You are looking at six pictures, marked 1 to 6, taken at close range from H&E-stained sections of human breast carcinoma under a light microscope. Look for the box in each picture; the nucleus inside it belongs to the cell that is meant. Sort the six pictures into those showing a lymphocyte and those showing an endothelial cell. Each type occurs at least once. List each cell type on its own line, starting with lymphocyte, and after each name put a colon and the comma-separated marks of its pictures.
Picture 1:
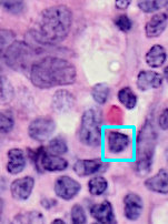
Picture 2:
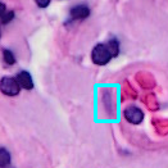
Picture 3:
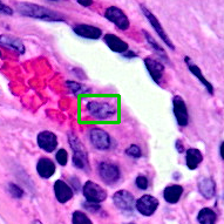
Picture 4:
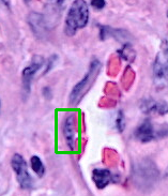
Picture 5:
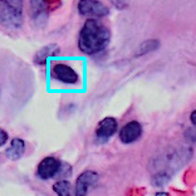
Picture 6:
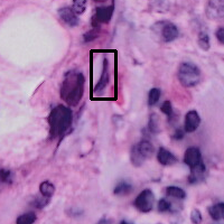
lymphocyte: 1, 5
endothelial cell: 2, 3, 4, 6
